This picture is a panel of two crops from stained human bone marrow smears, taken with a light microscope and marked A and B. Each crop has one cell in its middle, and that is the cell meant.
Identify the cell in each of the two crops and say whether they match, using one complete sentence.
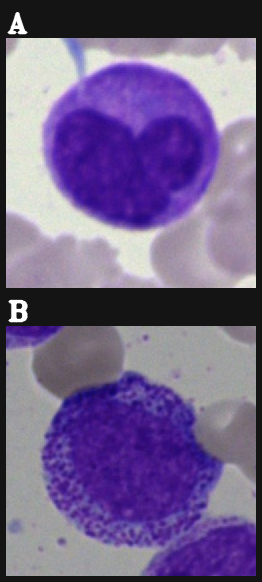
No, crop A features a monocyte, while crop B features a myelocyte.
